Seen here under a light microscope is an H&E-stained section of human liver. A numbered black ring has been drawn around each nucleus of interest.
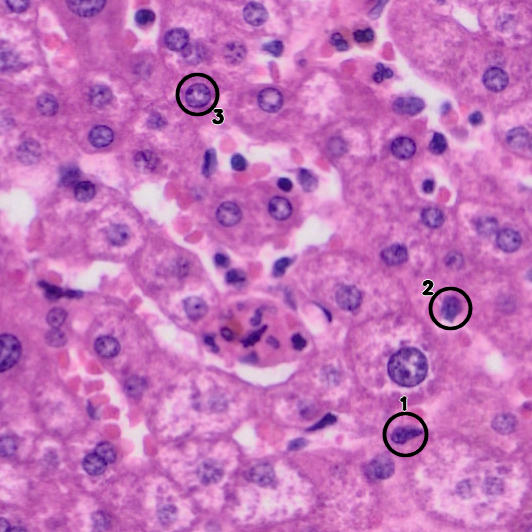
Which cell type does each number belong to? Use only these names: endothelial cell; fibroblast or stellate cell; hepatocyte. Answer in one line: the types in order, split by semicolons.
fibroblast or stellate cell; endothelial cell; hepatocyte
